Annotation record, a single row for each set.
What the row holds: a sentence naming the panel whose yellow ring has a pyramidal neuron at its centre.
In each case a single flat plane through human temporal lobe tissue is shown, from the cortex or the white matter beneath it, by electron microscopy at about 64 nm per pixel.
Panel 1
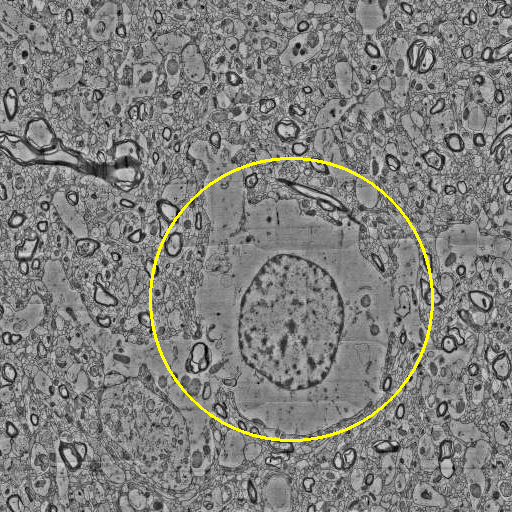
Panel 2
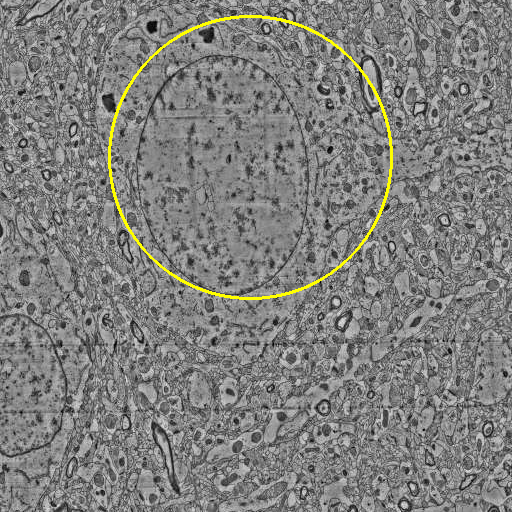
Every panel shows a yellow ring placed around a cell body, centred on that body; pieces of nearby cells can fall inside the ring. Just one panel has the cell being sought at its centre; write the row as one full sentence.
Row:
In panel 2, the cell at the middle of the yellow ring is the one sought.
